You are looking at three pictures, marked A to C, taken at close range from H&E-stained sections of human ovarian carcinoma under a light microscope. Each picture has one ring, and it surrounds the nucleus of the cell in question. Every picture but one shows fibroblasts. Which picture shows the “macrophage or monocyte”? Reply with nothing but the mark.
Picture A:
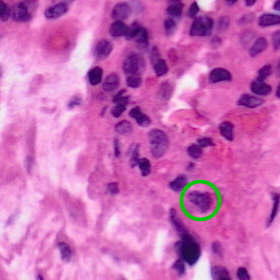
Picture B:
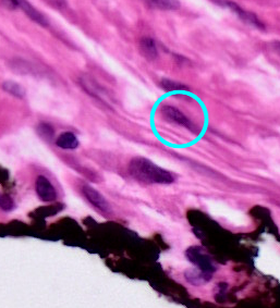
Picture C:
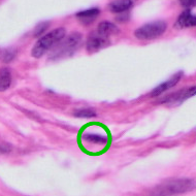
A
